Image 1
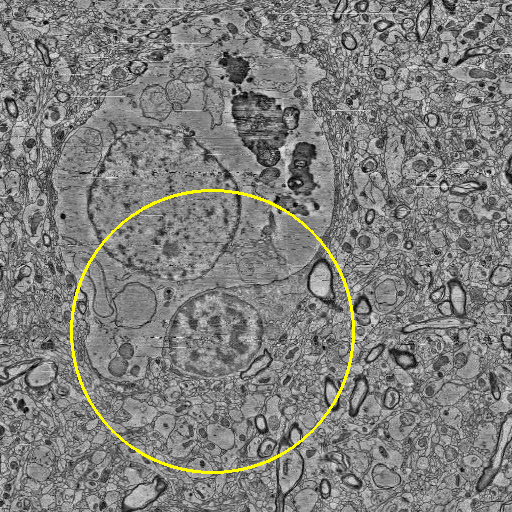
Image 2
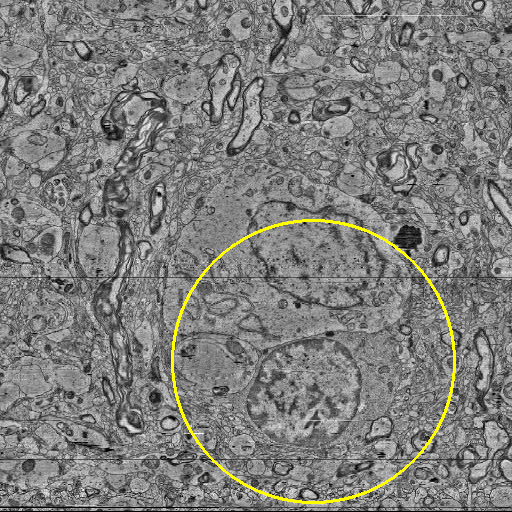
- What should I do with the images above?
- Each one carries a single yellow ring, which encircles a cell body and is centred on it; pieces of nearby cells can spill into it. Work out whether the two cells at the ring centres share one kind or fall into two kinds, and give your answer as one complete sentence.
The ring-centre cells of Image 1 and Image 2 share one kind.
